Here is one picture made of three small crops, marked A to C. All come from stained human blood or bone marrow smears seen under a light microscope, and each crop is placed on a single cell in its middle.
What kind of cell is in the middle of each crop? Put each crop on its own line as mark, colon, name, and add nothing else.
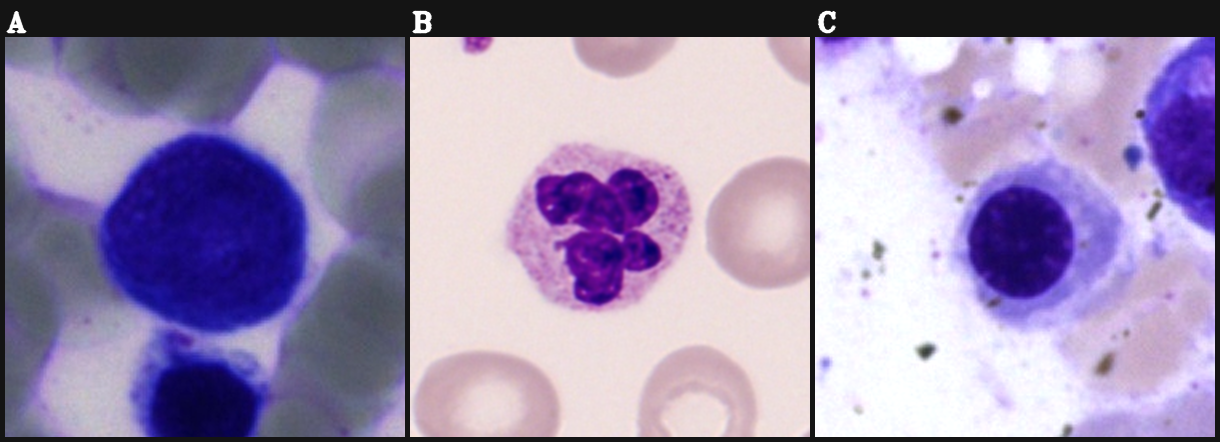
A: blast
B: segmented neutrophil
C: erythroblast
